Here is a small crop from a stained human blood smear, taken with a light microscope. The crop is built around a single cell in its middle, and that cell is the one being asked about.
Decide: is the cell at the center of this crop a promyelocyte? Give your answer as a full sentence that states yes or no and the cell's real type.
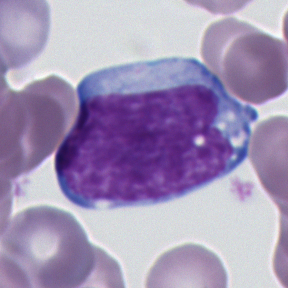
No, the central cell is designated a myeloblast and not a promyelocyte.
